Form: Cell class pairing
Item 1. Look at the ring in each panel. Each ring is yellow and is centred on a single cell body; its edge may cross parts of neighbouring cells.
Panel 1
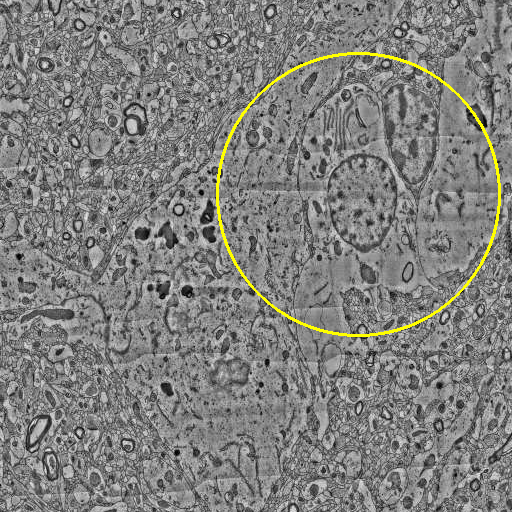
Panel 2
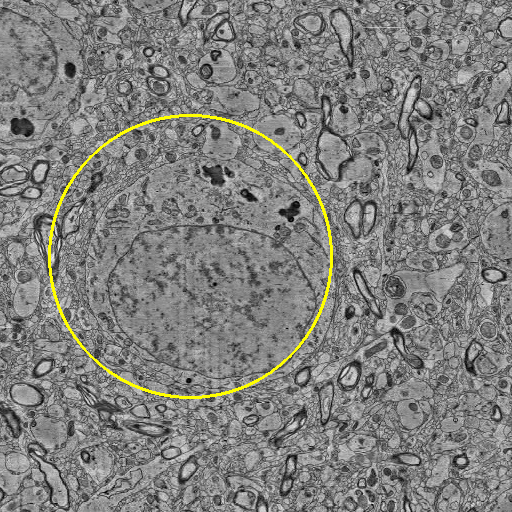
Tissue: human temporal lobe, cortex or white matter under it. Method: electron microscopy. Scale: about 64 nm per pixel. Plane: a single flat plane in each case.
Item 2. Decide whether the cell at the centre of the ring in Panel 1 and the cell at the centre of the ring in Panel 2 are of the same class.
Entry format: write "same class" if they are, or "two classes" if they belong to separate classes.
two classes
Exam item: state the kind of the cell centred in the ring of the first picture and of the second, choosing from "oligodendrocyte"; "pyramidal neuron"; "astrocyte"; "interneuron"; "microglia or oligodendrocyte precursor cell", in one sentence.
The first picture shows an astrocyte at the ring centre and the second shows a pyramidal neuron.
